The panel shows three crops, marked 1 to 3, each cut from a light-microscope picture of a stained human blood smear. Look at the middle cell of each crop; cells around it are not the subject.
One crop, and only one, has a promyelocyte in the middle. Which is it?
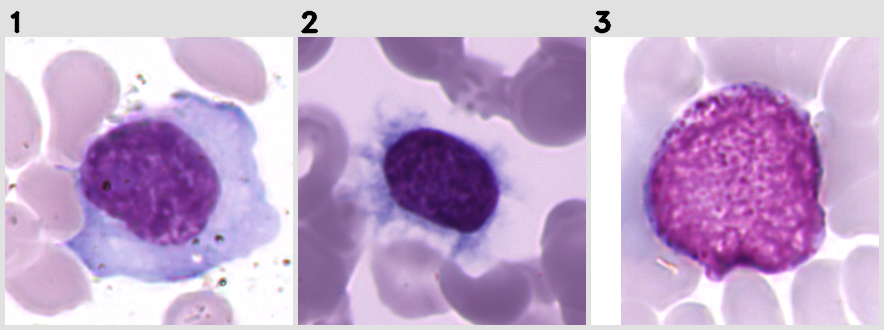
3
